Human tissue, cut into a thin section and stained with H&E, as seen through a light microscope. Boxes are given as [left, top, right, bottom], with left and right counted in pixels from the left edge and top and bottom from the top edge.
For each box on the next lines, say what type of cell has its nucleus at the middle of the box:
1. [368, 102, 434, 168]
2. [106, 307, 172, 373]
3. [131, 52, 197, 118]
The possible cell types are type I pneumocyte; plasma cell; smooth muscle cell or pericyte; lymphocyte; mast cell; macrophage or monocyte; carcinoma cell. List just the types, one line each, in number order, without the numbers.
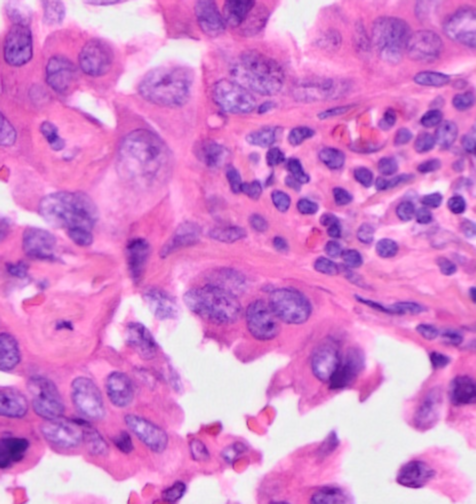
lymphocyte
carcinoma cell
carcinoma cell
